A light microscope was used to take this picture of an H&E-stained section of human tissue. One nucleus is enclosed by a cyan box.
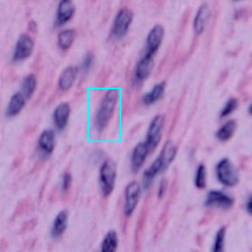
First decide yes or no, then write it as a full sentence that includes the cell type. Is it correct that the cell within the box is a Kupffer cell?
No, what the cell within the box represents is a smooth muscle cell rather than a Kupffer cell.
